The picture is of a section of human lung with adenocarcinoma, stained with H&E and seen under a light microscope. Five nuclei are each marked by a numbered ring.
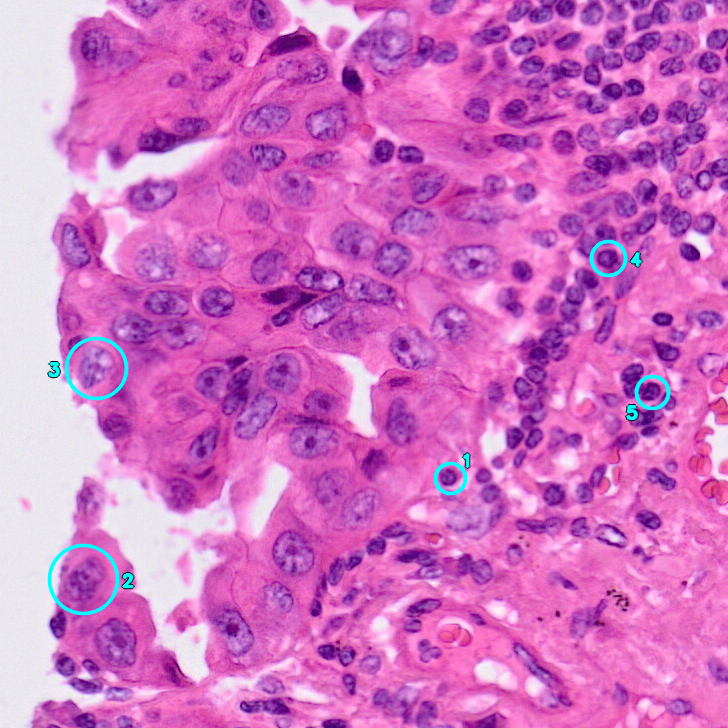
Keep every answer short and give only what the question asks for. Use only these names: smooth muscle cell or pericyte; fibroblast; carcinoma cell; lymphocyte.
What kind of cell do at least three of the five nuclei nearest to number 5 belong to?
lymphocyte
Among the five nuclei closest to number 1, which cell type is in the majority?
fibroblast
